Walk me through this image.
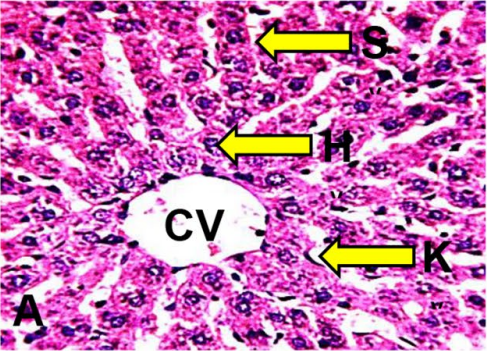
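Liver tissue with cords of hepatocytes radiating from a central vein, separated by sinusoids. The central vein has an empty white lumen lined by thin flattened cells. Hepatocytes are polygonal with pink granular cytoplasm and round, centrally placed dark-purple nuclei, many with a visible nucleolus. The cords are one to two cells thick and run outward like spokes. Between them the sinusoids appear as narrow clear channels. Along the sinusoids lie small cells with elongated, dark, flattened nuclei, among them Kupffer cells. No blood congestion or vacuolation is evident.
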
